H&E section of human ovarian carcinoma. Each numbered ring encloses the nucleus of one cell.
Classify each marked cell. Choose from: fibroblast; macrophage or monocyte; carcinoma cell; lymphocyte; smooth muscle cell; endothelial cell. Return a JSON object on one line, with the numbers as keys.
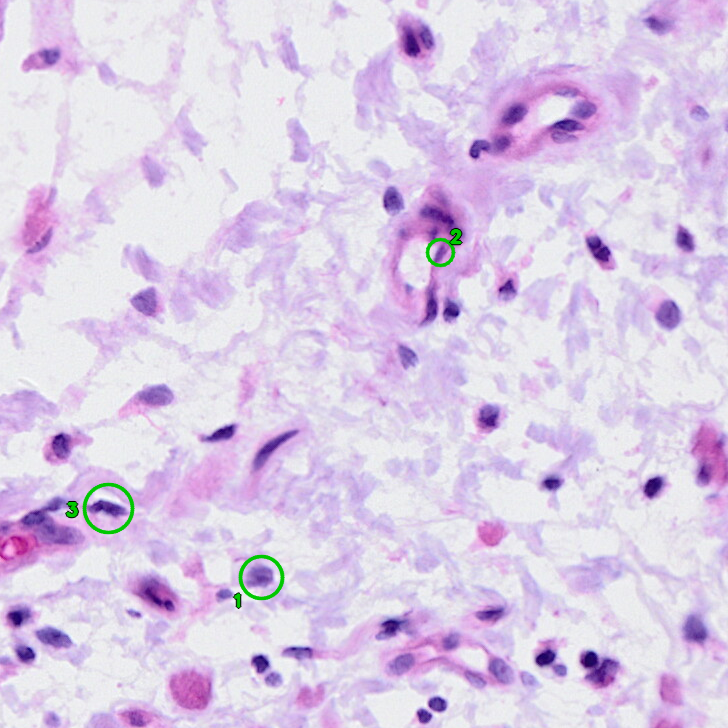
{"1": "fibroblast", "2": "endothelial cell", "3": "fibroblast"}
